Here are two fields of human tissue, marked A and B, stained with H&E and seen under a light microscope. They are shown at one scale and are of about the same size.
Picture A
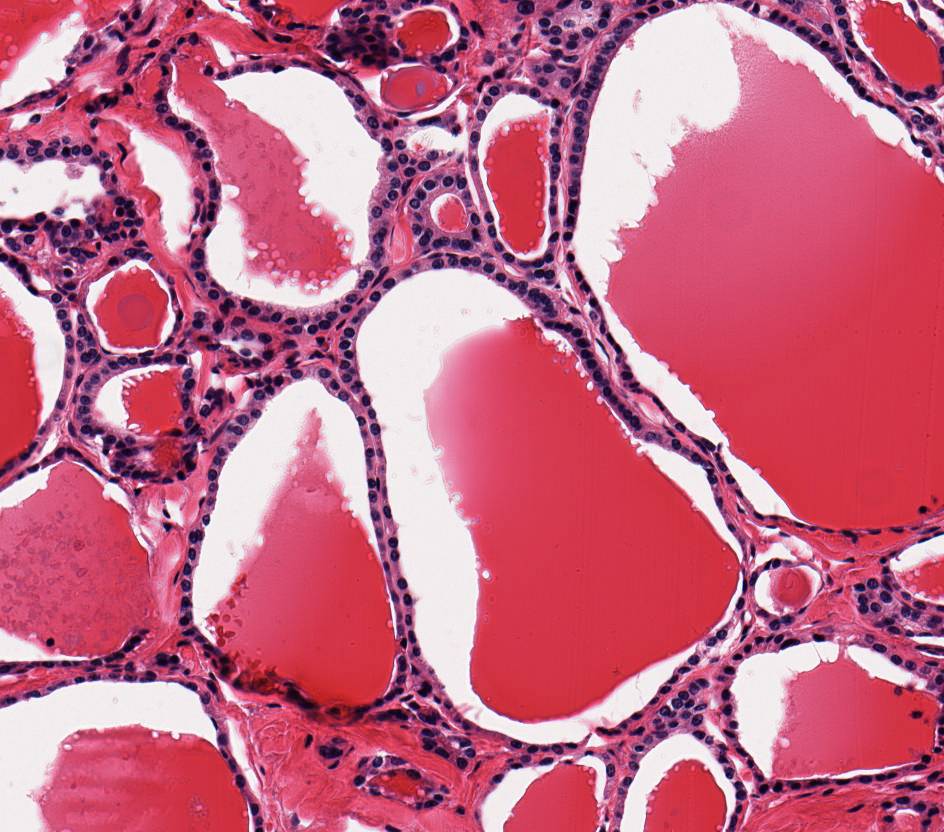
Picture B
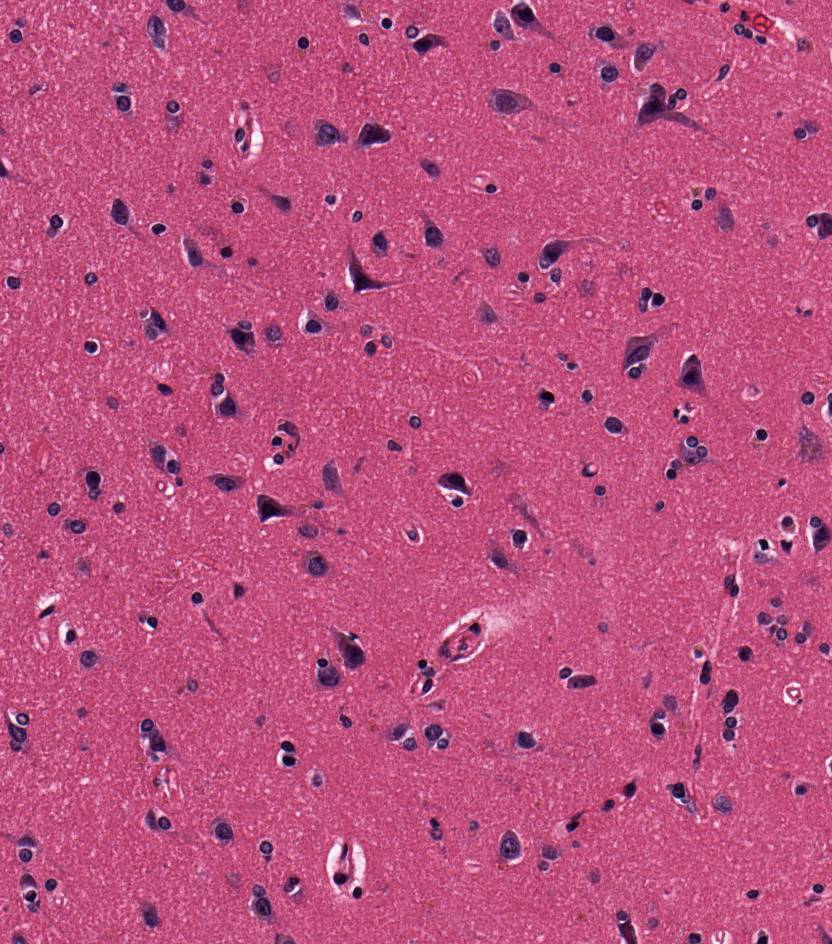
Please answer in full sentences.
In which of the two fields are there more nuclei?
There are more nuclei in picture A.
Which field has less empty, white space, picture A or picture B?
Unstained space takes up less of picture B than of picture A.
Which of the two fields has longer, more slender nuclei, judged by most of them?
Longer, more slender nuclei lie in picture A.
